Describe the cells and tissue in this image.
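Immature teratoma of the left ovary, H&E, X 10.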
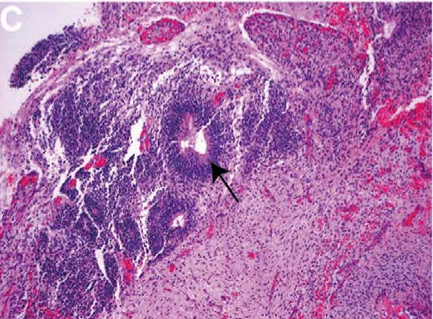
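In several places the cells line up radially around small round central spaces, forming tubular or rosette-like structures resembling an early neural tube. The cytoplasm is scant, so the nuclei dominate. Around these dark cellular sheets lies a paler pink, looser stroma with spindle-shaped and scattered cells. Small red blood-filled vessels and clefts are present between the cellular areas.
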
